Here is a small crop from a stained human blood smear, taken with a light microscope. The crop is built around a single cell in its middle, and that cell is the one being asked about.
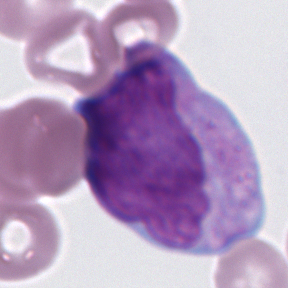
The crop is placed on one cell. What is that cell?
atypical promyelocyte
